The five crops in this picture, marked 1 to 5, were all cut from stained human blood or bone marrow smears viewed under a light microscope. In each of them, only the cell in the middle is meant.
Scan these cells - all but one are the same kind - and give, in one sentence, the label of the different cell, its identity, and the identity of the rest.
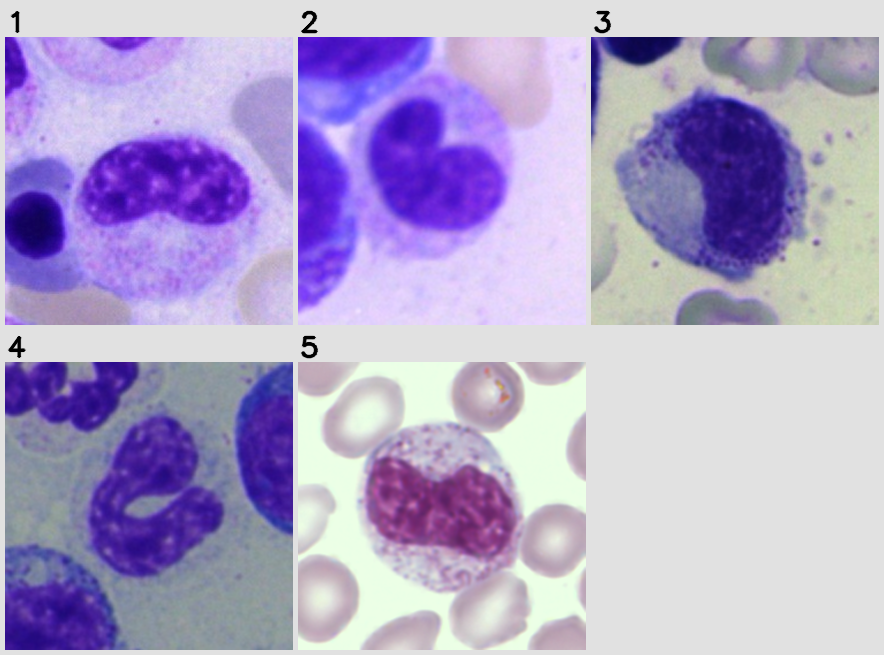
The different one is crop 4, which is a band neutrophil; the rest all show metamyelocytes.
